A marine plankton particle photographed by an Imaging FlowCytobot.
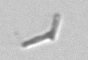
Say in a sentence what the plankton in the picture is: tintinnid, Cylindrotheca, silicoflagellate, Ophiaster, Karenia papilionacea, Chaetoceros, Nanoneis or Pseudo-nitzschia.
This is Nanoneis.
